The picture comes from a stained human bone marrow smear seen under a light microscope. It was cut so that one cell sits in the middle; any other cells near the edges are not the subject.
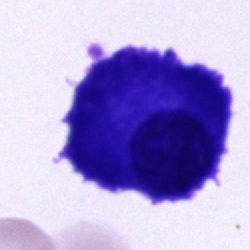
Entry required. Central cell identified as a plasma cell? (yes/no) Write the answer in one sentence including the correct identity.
Yes, the cell in the central position is a plasma cell.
